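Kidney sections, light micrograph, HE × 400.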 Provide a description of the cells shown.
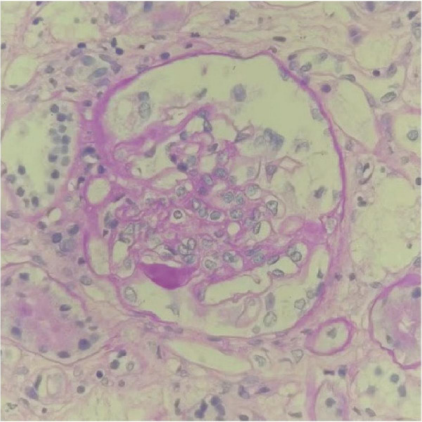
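Renal glomerulus sectioned through its tuft, surrounded by tubules. The capillary loops are mostly open, with thin magenta walls and scattered oval endothelial and mesangial nuclei. Bowman's capsule forms a clear magenta outline with an open urinary space around much of the tuft. At the lower edge of the tuft a small dense homogeneous magenta deposit occupies one segment. Surrounding tubules show pale, vacuolated cytoplasm.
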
